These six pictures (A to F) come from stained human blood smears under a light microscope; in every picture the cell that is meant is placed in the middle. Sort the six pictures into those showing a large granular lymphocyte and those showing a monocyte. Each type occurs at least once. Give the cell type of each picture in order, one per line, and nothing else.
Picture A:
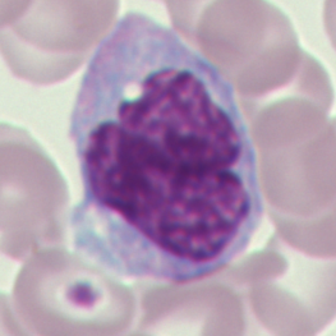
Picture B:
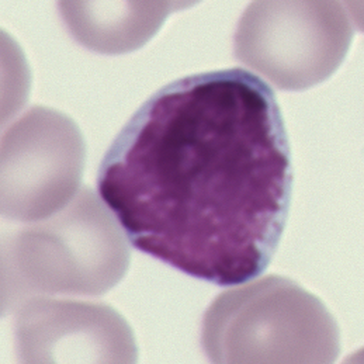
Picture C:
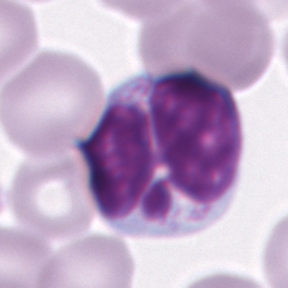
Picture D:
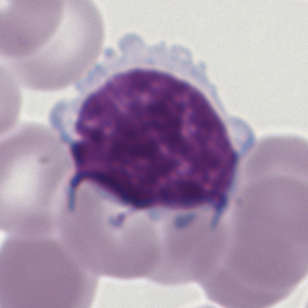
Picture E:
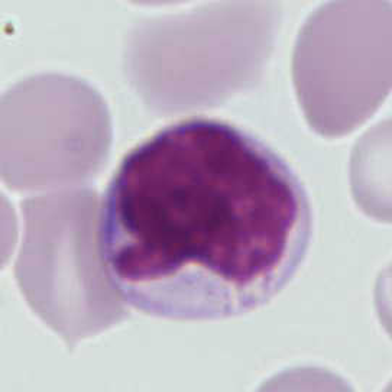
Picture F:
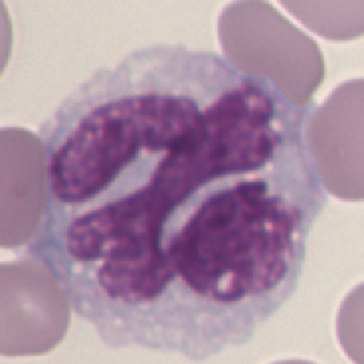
monocyte
large granular lymphocyte
large granular lymphocyte
large granular lymphocyte
large granular lymphocyte
monocyte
